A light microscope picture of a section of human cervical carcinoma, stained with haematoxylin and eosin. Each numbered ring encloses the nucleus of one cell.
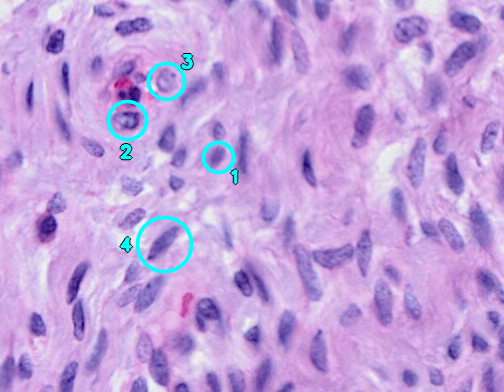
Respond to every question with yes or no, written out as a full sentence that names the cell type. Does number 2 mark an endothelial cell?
Yes, the cell that goes by number 2 is an endothelial cell.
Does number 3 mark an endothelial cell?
Yes, the numbered cell 3 is an endothelial cell.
